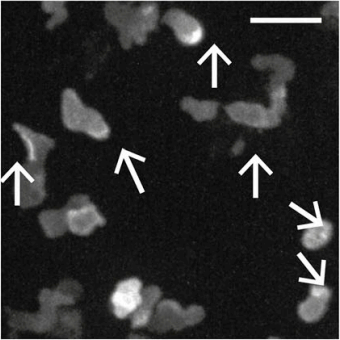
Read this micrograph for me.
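The cells are compact, rounded to irregular, and show few of the long extensions typical of migrating cells. In several cells the fluorescence is brighter along one part of the cell edge, forming a crescent at the rim. The cells lie scattered and separate, with a few close together near the lower part of the field.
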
